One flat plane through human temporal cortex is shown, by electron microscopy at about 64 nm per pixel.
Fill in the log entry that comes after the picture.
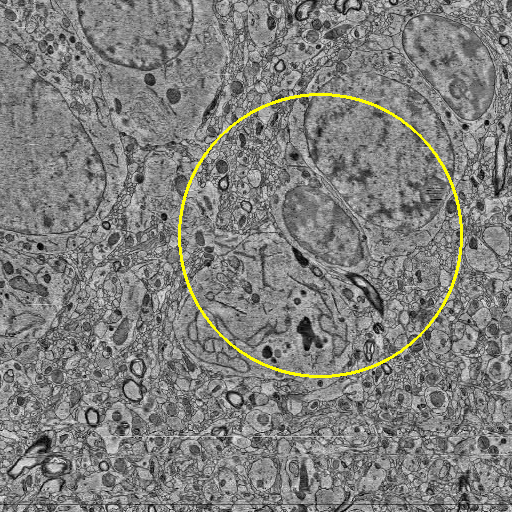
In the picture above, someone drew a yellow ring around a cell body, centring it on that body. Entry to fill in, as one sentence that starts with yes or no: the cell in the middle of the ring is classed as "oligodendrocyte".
Yes, the cell in the ring's centre in this image is of the stated kind.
